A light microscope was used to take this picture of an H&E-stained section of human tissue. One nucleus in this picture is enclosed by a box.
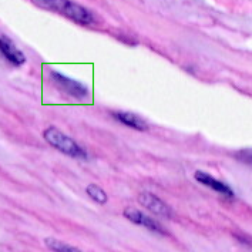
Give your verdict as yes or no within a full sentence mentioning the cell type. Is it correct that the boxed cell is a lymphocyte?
No, the boxed cell is simply an endothelial cell rather than a lymphocyte.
